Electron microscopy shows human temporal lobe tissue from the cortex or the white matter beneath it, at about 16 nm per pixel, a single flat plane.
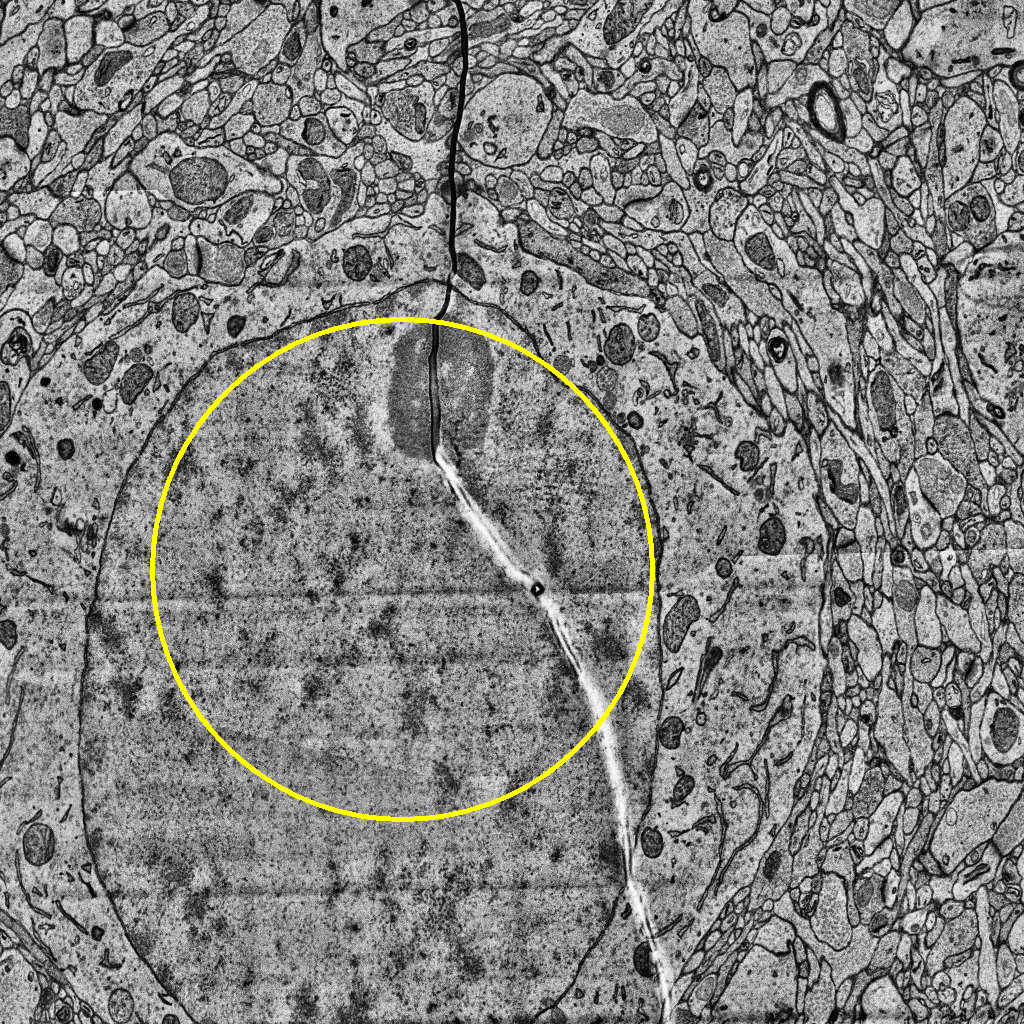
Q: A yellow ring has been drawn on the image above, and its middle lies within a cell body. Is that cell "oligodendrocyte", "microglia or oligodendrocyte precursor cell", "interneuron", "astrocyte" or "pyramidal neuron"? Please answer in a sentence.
The ring's middle lies in the cell body of a pyramidal neuron.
